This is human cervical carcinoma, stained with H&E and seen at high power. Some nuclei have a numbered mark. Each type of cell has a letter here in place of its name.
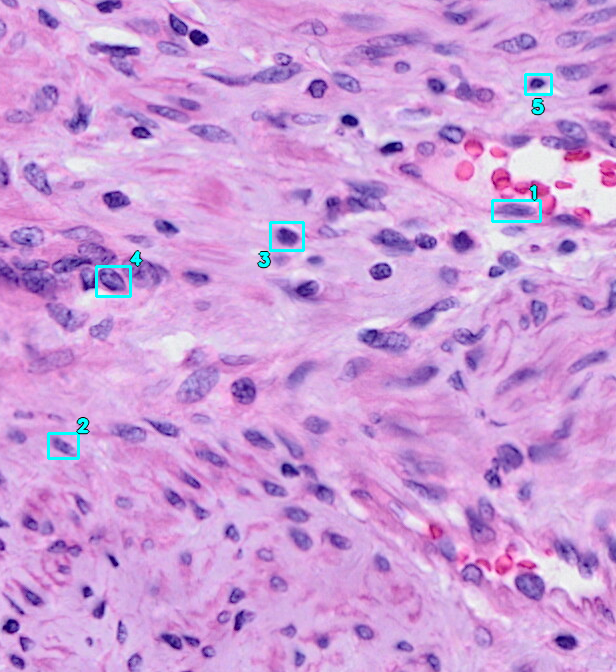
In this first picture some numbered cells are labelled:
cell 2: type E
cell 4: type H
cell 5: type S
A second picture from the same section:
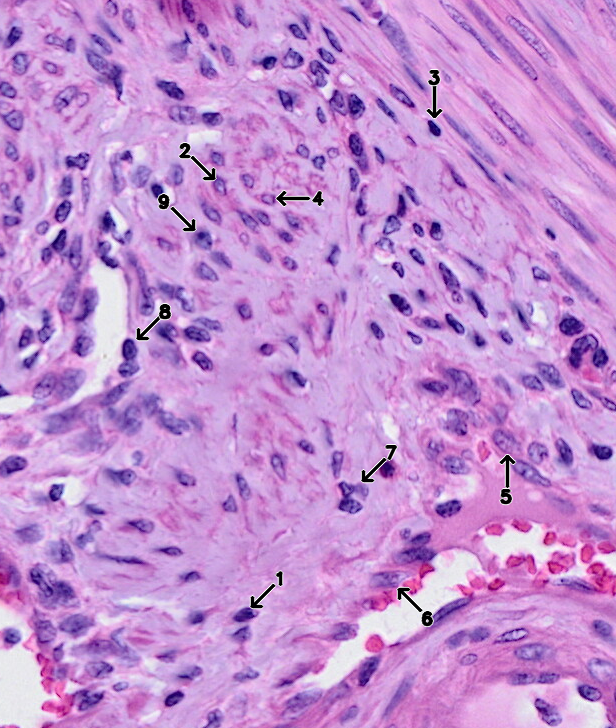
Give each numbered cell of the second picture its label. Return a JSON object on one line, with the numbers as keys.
{"1": "type S", "2": "type E", "3": "type S", "4": "type E", "5": "type H", "6": "type H", "7": "type S", "8": "type S", "9": "type S"}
